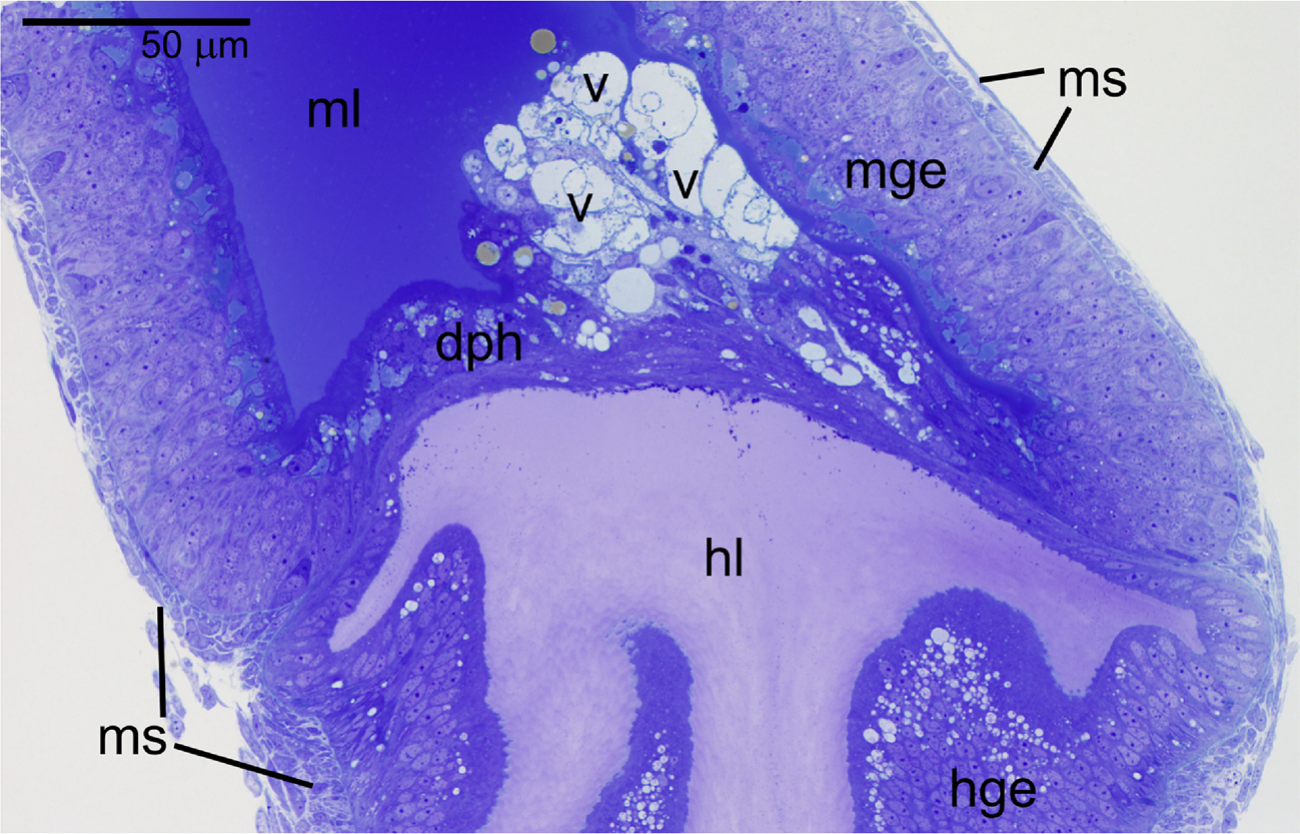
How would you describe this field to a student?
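The junction of the midgut and the hindgut is shown, with a thick midgut epithelium of tall cells with round nuclei and a hindgut epithelium that forms folds projecting into its lumen. The continuity of the gut lumen is interrupted by a cellular diaphragm lying across it, with no muscle layer in the diaphragm. Large, pale, heterogeneous vacuoles bulge from the diaphragm into the midgut lumen. The midgut lumen stains deep blue while the hindgut lumen is pale violet, and thin muscle fibers run along the outer surface of the gut wall.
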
